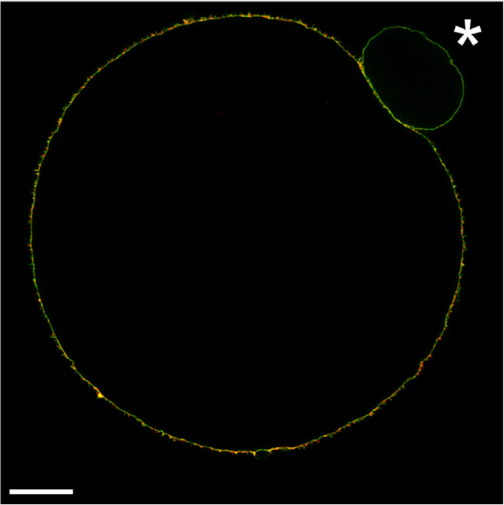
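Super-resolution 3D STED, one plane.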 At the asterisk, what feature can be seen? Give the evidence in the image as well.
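A small oval body outlined by a green rim lies against the outside of the large ring. It is much smaller than the large circular outline. The answer: polar body.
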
